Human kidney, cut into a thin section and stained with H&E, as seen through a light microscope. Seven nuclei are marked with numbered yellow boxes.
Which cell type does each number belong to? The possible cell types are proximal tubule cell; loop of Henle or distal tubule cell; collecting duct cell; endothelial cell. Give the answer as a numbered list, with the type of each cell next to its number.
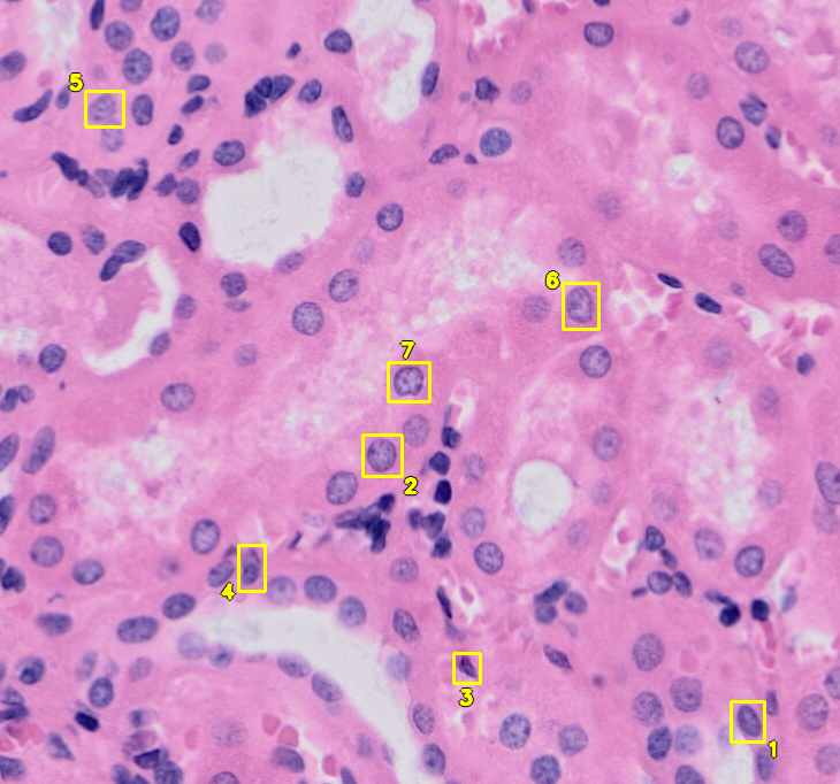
1. collecting duct cell
2. proximal tubule cell
3. endothelial cell
4. collecting duct cell
5. loop of Henle or distal tubule cell
6. proximal tubule cell
7. proximal tubule cell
